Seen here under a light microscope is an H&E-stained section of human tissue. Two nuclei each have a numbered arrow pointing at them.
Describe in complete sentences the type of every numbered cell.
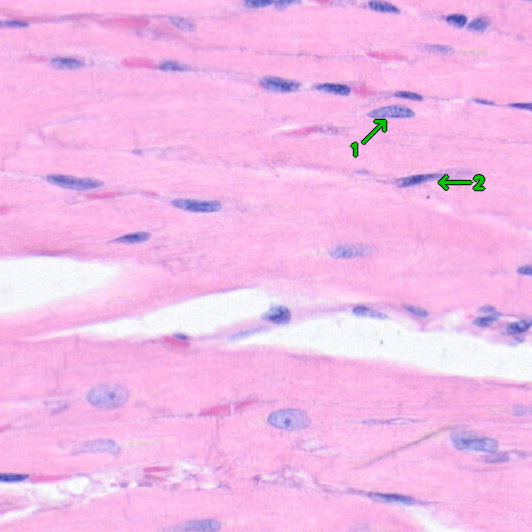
Cell 1 is a cardiomyocyte. Cell 2 is an endothelial cell.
